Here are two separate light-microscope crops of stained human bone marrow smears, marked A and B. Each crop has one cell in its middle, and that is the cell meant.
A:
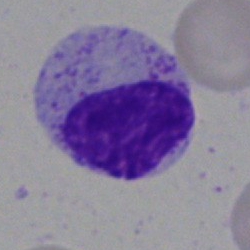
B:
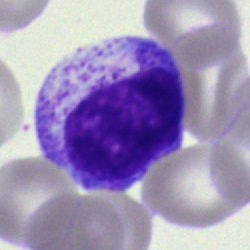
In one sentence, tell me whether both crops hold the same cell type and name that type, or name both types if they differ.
Yes, both crops show myelocytes in their central position.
